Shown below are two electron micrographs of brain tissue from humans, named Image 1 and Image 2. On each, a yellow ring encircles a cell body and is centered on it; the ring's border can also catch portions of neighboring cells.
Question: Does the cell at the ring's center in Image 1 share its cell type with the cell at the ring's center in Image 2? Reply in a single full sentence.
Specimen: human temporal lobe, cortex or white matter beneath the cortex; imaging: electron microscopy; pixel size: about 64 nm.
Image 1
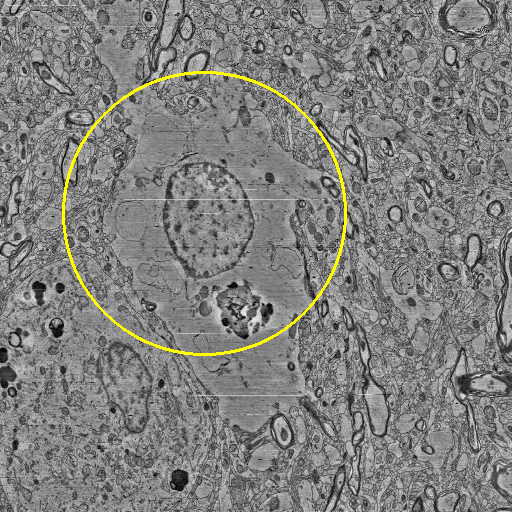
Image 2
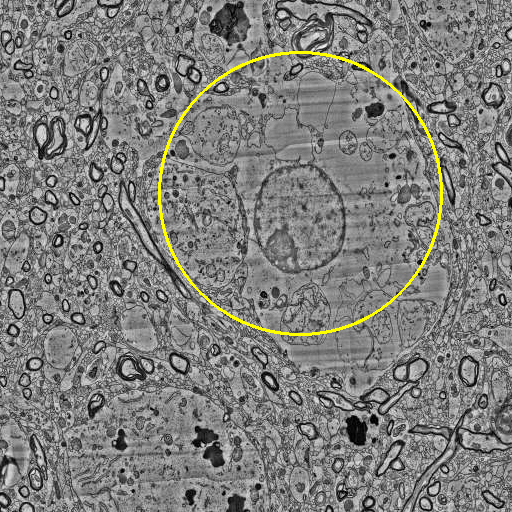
Yes, the two cells at the ring centers, in Image 1 and Image 2, share one cell type.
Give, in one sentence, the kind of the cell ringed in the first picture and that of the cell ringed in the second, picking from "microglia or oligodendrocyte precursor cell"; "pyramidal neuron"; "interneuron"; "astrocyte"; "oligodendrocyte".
The ring centre holds an astrocyte in each of the two pictures.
